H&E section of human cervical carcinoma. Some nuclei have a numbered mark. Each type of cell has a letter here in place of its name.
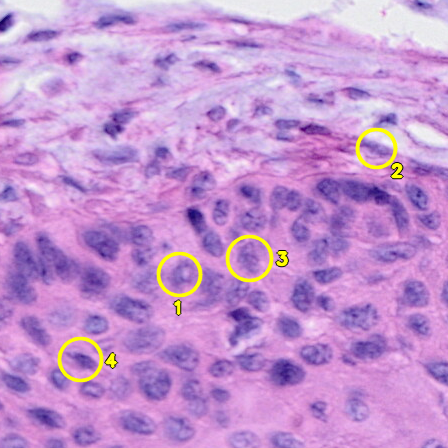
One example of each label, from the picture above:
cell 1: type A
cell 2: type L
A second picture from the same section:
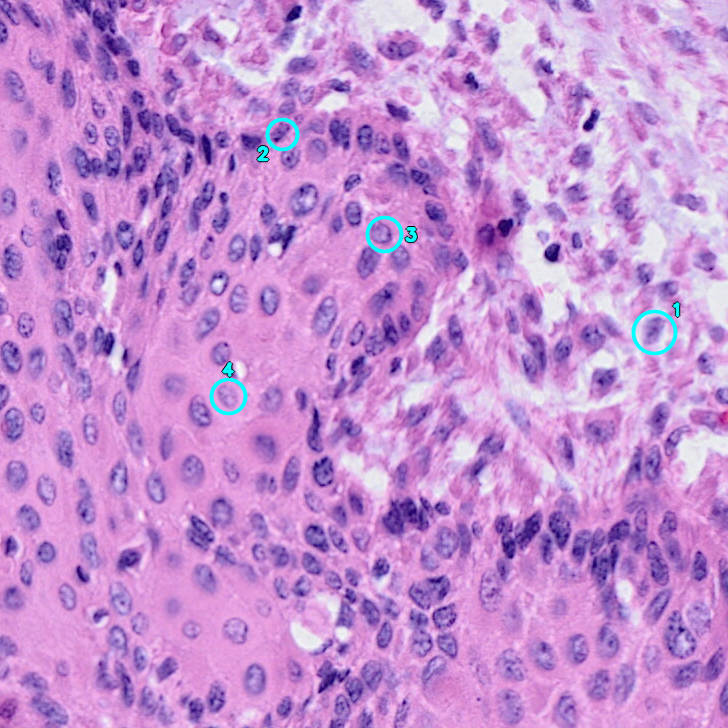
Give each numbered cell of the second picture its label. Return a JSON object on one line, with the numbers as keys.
{"1": "type L", "2": "type A", "3": "type A", "4": "type A"}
